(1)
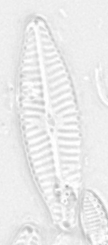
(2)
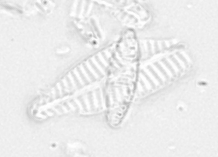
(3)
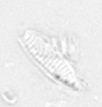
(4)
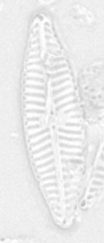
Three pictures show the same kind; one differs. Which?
Picture 3: Nitzschia, while the others are Navicula.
